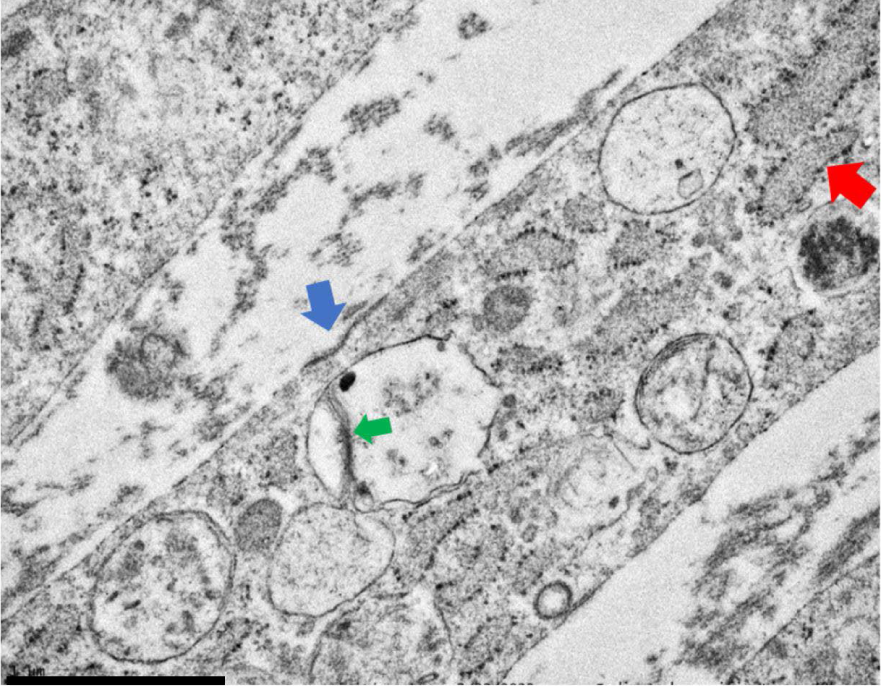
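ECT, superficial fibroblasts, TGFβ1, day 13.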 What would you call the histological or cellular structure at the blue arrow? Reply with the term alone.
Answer: a depression of the plasma membrane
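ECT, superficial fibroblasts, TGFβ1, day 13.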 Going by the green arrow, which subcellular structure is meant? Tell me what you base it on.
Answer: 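The arrow points to a rounded membrane-bound sac. Dark, curved, thread-like material lies inside it. On this evidence: vesicles with very electron-dense fibrous elements.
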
